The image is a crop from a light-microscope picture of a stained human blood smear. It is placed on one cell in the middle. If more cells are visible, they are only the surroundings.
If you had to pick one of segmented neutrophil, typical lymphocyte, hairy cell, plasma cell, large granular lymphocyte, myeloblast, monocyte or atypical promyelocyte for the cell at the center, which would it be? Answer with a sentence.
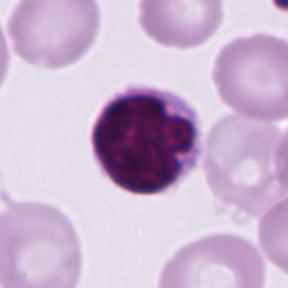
The cell marked by its central position in the crop is a typical lymphocyte.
